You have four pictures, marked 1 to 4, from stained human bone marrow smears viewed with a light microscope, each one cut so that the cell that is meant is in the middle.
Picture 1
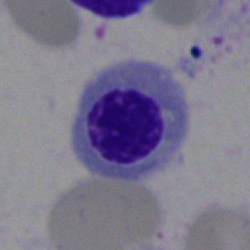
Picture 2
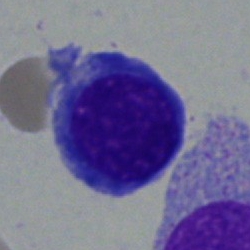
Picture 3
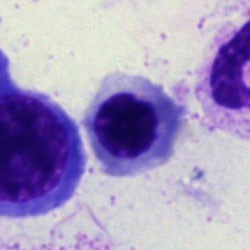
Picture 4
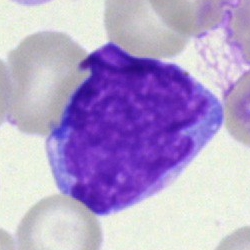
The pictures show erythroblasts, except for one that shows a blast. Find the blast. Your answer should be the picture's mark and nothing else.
4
